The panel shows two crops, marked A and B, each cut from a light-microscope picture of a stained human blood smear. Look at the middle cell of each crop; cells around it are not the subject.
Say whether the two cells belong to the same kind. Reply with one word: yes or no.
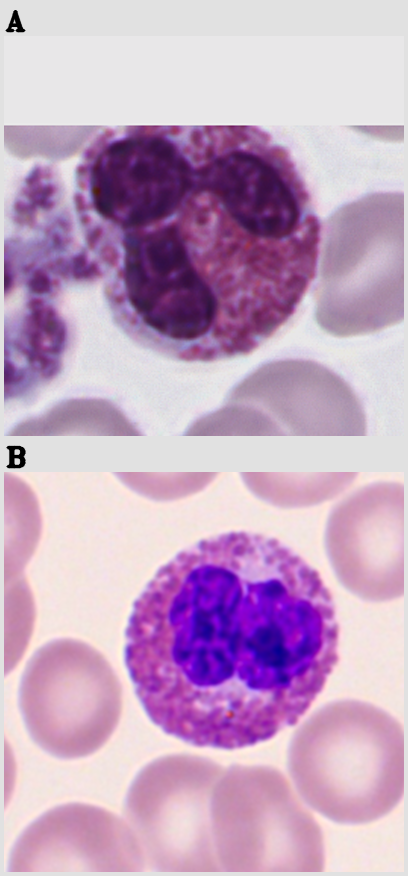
yes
